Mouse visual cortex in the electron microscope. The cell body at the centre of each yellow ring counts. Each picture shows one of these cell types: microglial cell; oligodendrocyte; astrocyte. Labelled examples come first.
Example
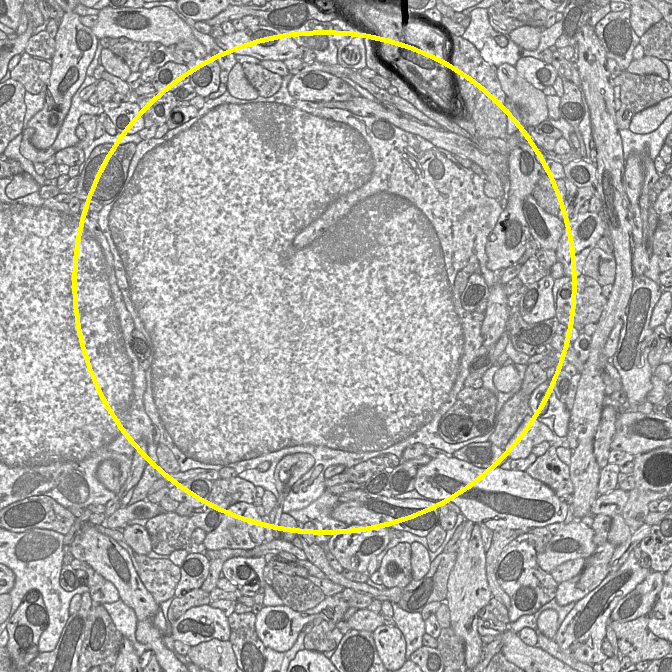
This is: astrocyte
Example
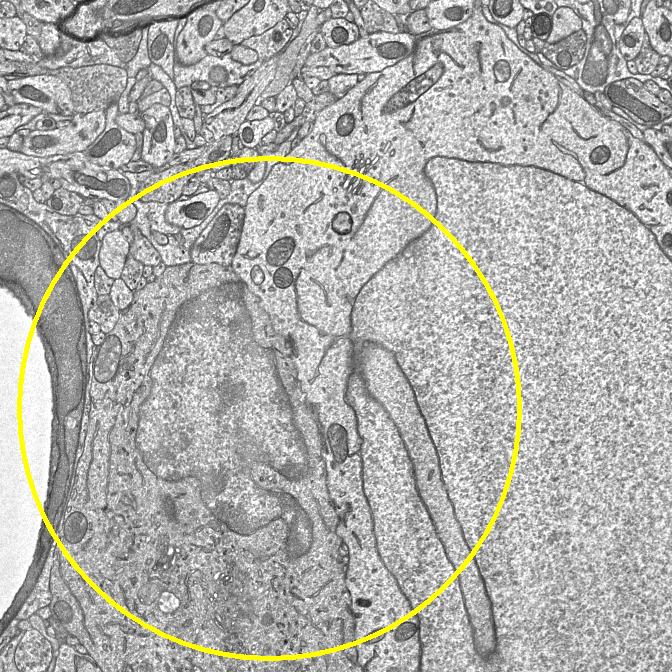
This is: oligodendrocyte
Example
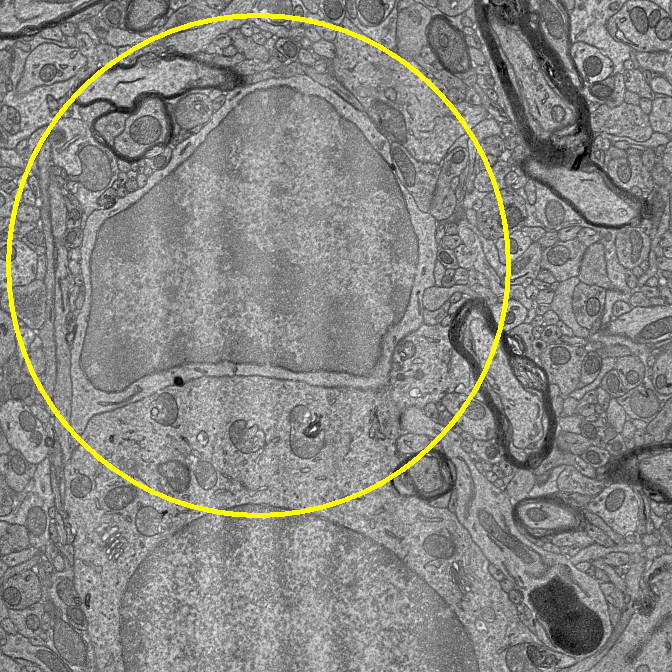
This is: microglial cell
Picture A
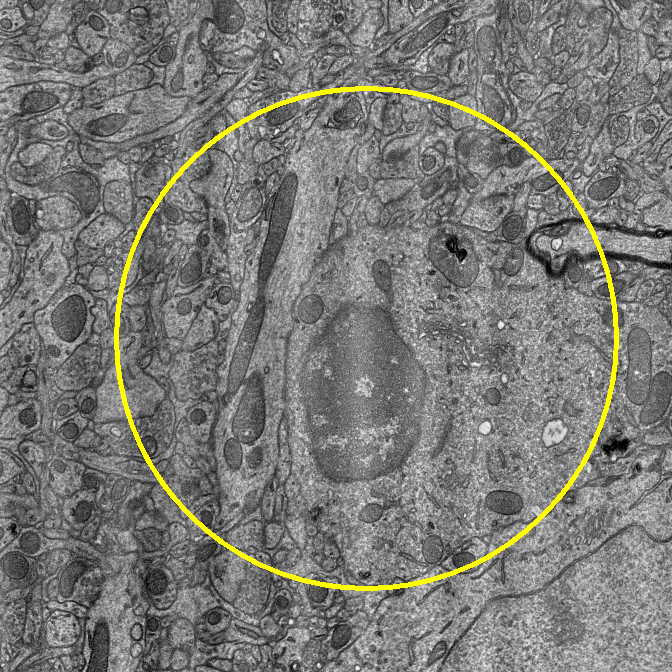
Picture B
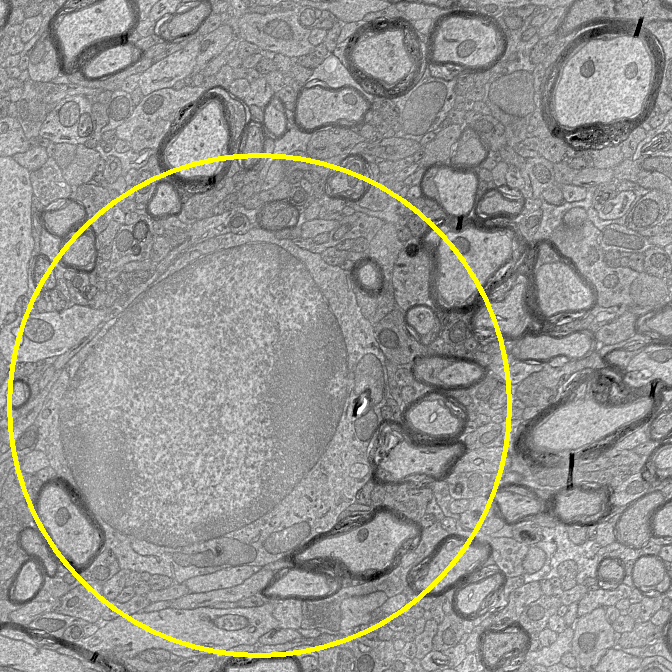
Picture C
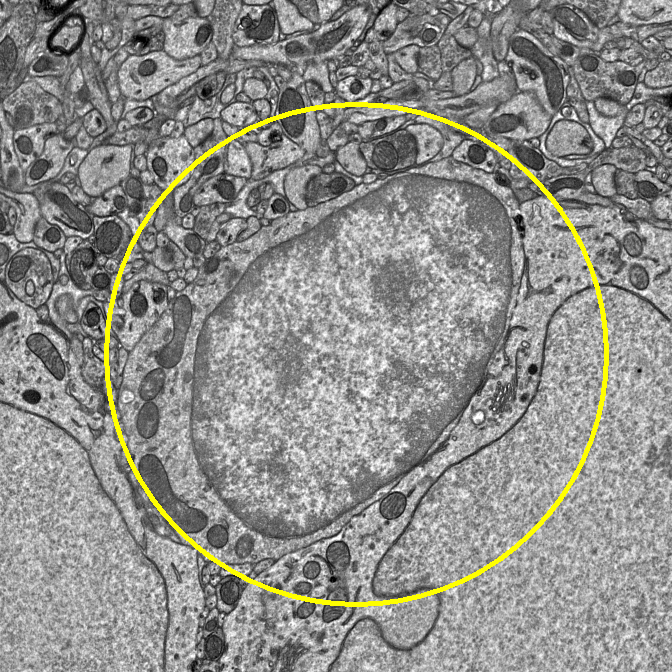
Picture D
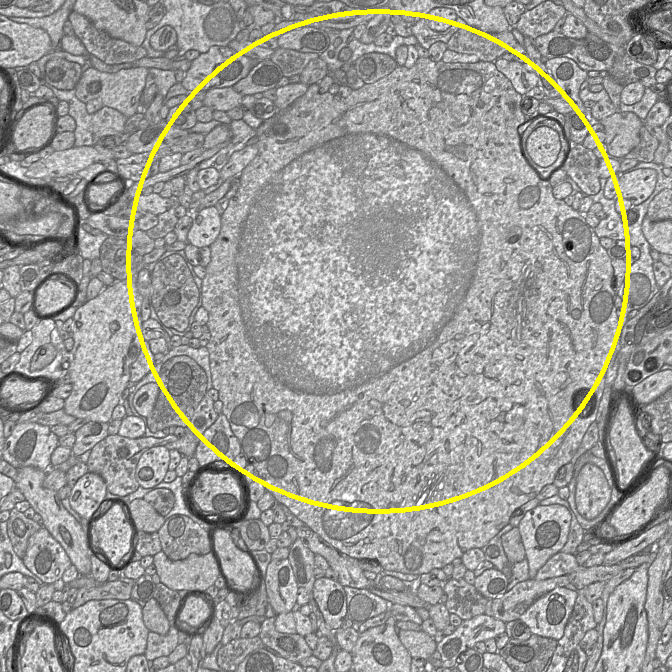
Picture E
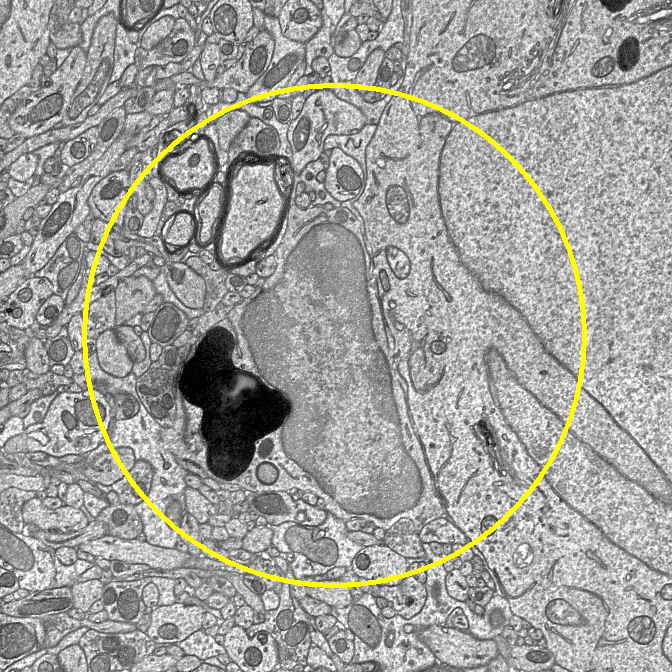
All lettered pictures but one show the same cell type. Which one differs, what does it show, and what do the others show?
E differs and shows microglial cell; the others show oligodendrocyte.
